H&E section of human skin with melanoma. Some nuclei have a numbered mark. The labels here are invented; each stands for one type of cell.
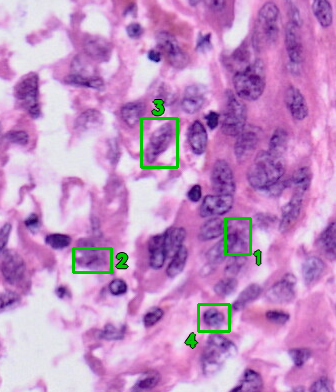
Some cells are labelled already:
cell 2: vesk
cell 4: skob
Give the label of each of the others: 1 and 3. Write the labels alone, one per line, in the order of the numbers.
vesk
vesk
